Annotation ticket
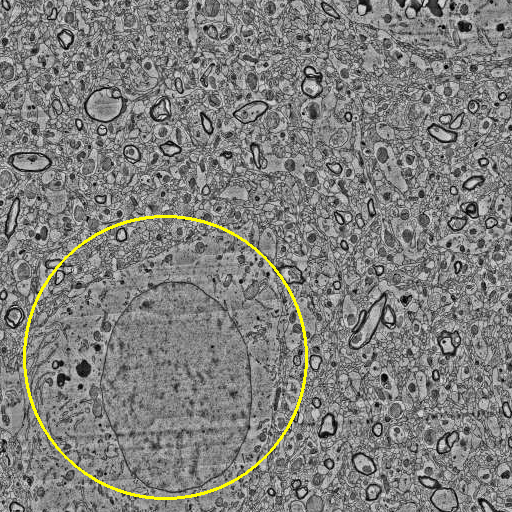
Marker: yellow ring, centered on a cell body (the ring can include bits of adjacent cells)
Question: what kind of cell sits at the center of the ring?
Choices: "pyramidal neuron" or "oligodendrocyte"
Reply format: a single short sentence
The ring is centered on a pyramidal neuron.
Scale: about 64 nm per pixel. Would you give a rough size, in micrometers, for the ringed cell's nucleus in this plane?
The ringed cell's nucleus measures approximately 13 by 10 micrometres in this plane.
